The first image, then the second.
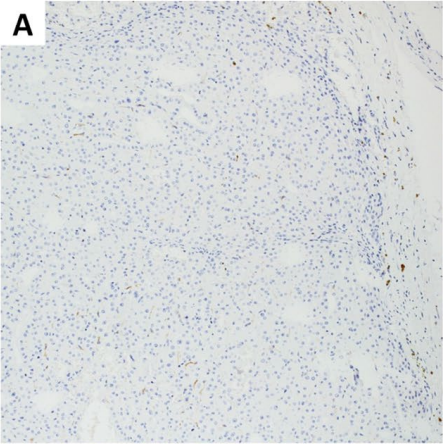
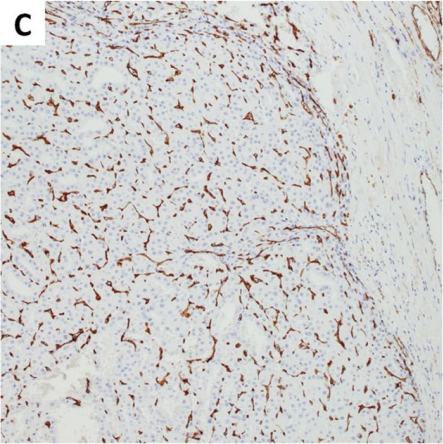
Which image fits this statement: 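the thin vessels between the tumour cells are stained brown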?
the second image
